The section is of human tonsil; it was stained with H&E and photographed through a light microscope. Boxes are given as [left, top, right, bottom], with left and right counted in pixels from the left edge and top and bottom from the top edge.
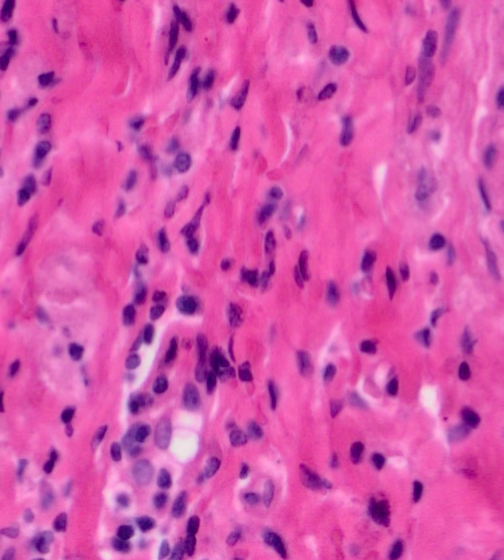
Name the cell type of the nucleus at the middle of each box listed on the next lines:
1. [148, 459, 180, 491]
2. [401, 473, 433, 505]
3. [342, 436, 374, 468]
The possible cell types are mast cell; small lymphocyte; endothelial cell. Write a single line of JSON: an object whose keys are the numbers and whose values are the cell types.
{"1": "endothelial cell", "2": "mast cell", "3": "mast cell"}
